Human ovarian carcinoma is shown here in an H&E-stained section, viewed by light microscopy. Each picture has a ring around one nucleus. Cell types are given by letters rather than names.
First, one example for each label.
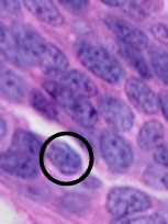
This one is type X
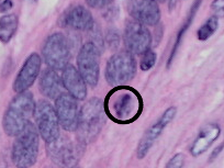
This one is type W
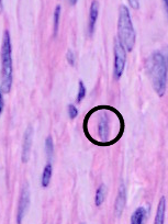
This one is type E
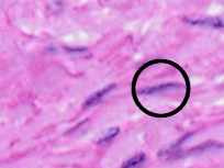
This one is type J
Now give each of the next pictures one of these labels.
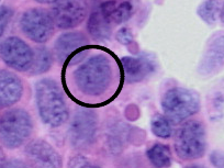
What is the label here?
type X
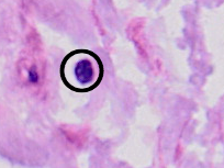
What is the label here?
type W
